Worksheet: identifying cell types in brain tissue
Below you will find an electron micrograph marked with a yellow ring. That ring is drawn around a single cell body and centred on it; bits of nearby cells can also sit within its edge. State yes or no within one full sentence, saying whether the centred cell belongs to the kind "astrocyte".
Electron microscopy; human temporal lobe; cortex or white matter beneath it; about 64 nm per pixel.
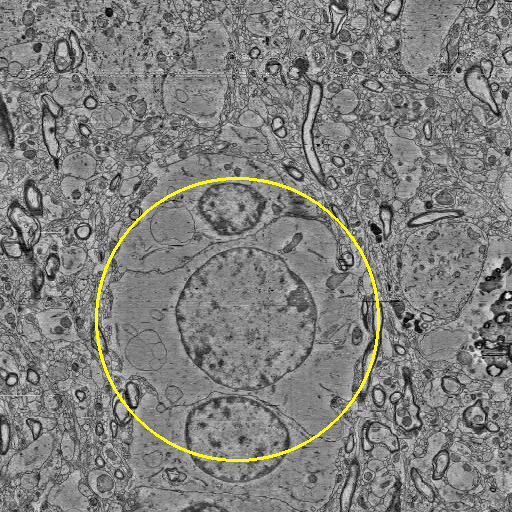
Yes, the cell sitting at the centre of the yellow ring in this picture is of that kind.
